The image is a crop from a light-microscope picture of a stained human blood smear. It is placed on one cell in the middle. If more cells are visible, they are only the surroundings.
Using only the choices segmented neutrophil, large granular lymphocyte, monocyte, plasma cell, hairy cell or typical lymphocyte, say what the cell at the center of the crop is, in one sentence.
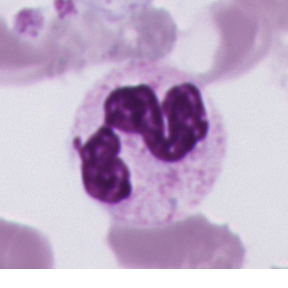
The cell positioned in the middle of the field is a segmented neutrophil.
